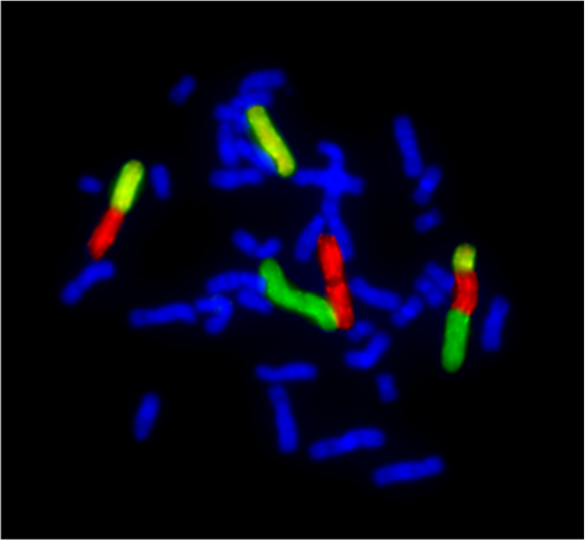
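Unlike an undisturbed spread, several painted chromosomes are mosaics: one consists of a yellow segment joined to a red one, another carries yellow, red and green pieces in a row, and a green piece lies end to end with a red one. Only one yellow chromosome looks painted throughout. Such chromosomes made of differently coloured pieces show that parts of these chromosomes have been exchanged with each other, while the many blue chromosomes carry no paint.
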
